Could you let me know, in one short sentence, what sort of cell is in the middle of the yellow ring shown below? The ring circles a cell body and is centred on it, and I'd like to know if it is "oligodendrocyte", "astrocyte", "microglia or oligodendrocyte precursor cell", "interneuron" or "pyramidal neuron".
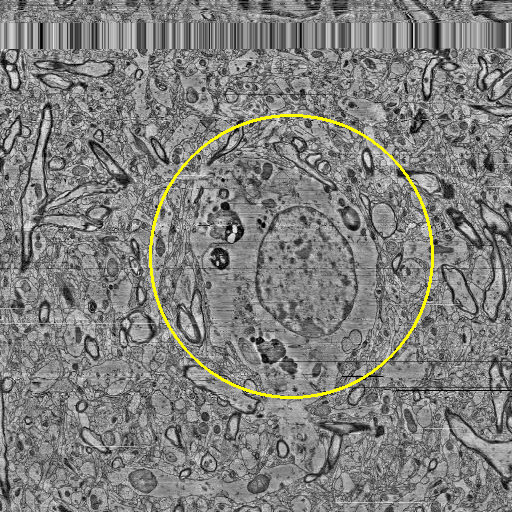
The ring circles the cell body of an astrocyte.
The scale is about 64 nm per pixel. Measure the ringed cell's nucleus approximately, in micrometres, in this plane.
The ringed cell's nucleus measures approximately 9 by 6 micrometres in this plane.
